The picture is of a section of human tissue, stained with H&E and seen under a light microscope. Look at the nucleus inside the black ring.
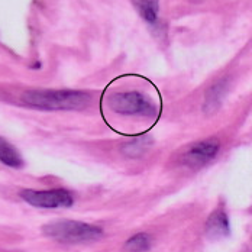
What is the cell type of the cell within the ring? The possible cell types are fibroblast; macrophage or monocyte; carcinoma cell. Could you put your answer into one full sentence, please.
As far as its identity is concerned, the cell within the ring is a fibroblast.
